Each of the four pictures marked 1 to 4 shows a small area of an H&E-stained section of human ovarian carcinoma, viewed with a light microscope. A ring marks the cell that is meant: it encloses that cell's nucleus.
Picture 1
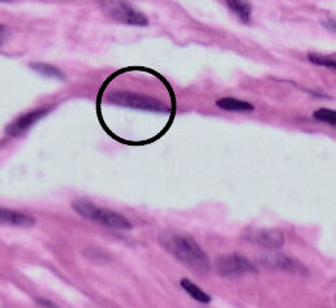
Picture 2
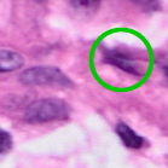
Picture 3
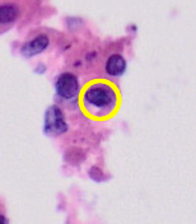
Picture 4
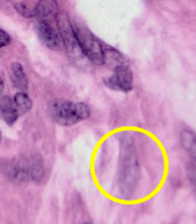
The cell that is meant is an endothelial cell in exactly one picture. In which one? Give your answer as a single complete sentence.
Picture 2 shows the endothelial cell.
